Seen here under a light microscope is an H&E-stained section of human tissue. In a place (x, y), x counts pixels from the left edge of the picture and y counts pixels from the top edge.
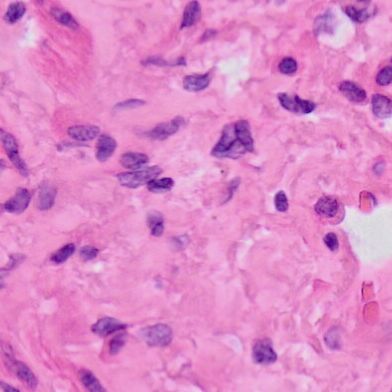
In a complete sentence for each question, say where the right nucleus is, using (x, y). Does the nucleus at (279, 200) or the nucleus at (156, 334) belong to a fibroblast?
In this pair, the nucleus at (156, 334) belongs to a fibroblast.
